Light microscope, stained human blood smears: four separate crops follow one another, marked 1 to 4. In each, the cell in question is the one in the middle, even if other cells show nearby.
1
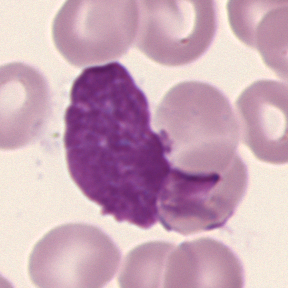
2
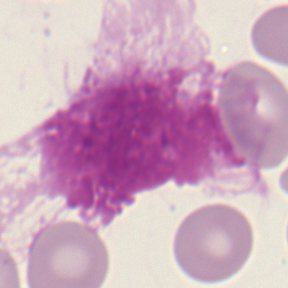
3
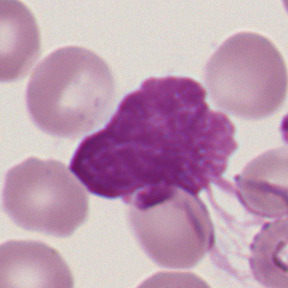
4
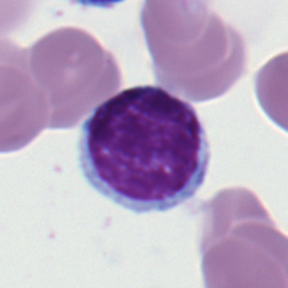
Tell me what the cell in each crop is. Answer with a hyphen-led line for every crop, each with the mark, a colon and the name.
- 1: smudge cell
- 2: smudge cell
- 3: smudge cell
- 4: typical lymphocyte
